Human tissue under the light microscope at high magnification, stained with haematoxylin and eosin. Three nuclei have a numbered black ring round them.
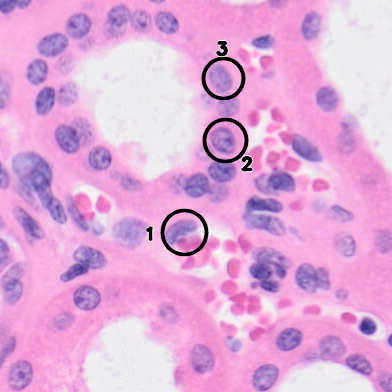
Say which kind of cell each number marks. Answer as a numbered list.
1. endothelial cell
2. collecting duct cell
3. collecting duct cell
